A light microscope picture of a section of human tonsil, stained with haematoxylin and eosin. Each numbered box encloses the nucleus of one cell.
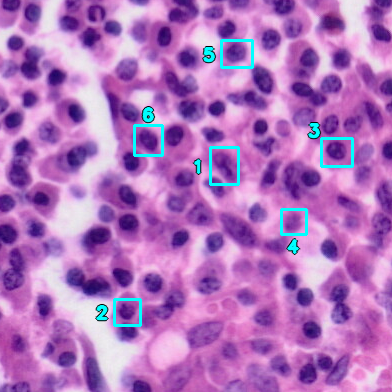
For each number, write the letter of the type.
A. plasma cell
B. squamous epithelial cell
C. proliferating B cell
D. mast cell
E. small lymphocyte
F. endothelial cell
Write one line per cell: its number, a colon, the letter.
1: B
2: A
3: A
4: B
5: A
6: A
